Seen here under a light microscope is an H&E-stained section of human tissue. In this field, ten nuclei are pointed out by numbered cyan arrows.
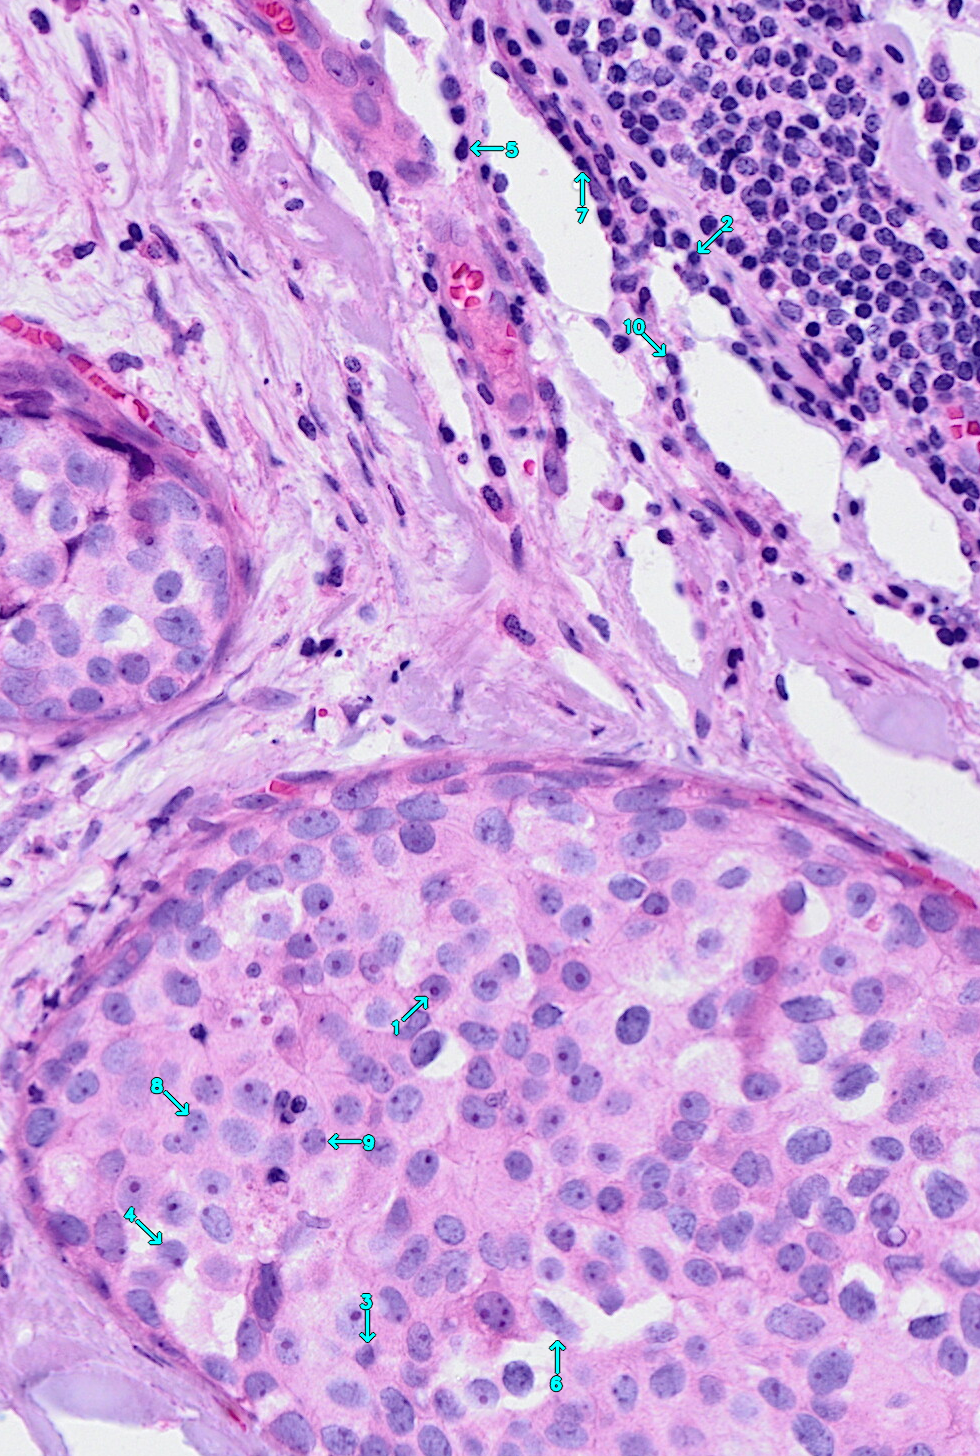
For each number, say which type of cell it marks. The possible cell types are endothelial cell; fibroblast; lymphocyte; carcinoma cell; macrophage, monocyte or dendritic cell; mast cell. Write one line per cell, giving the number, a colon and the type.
1: carcinoma cell
2: lymphocyte
3: carcinoma cell
4: carcinoma cell
5: lymphocyte
6: carcinoma cell
7: lymphocyte
8: carcinoma cell
9: carcinoma cell
10: lymphocyte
